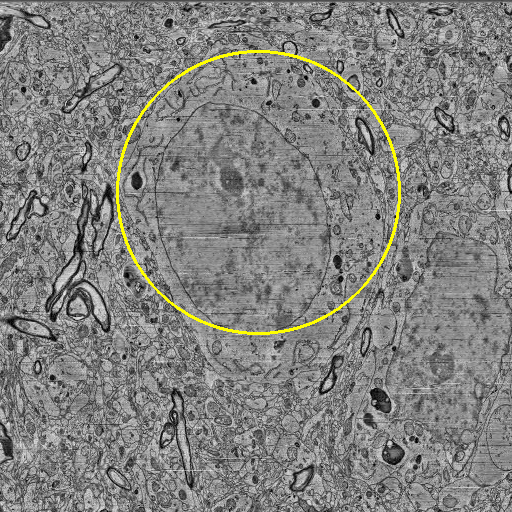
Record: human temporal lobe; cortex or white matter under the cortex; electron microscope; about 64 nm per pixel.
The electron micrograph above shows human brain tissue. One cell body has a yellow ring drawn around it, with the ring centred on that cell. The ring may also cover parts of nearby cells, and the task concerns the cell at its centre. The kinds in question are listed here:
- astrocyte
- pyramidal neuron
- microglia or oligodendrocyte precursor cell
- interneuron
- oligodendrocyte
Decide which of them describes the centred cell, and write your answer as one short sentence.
The centred cell is a pyramidal neuron.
